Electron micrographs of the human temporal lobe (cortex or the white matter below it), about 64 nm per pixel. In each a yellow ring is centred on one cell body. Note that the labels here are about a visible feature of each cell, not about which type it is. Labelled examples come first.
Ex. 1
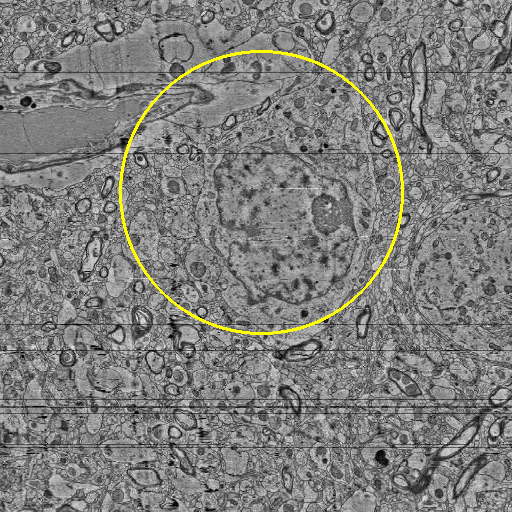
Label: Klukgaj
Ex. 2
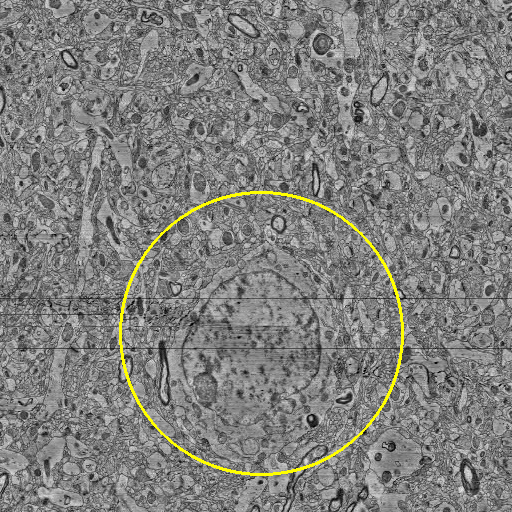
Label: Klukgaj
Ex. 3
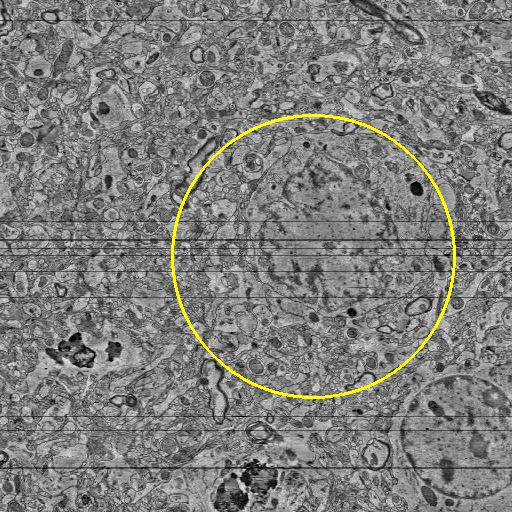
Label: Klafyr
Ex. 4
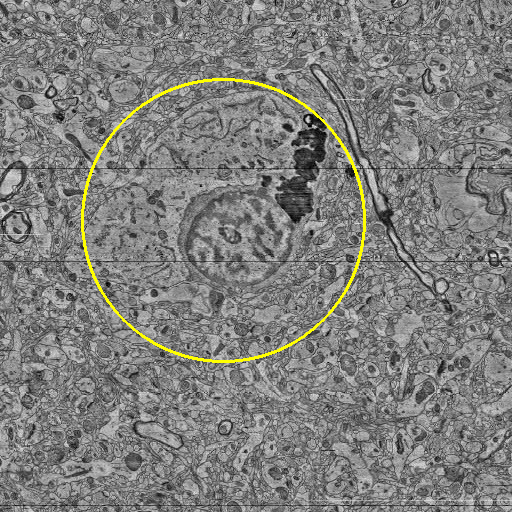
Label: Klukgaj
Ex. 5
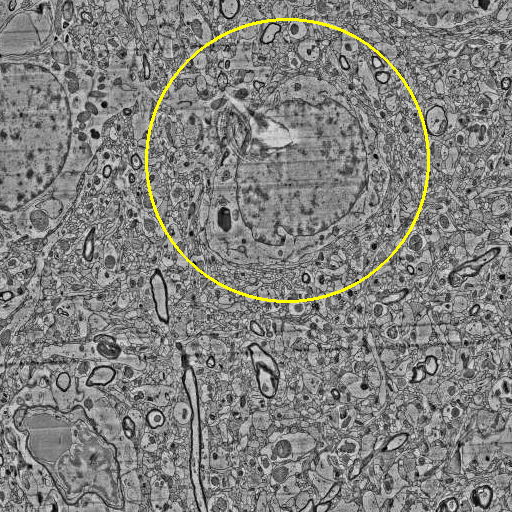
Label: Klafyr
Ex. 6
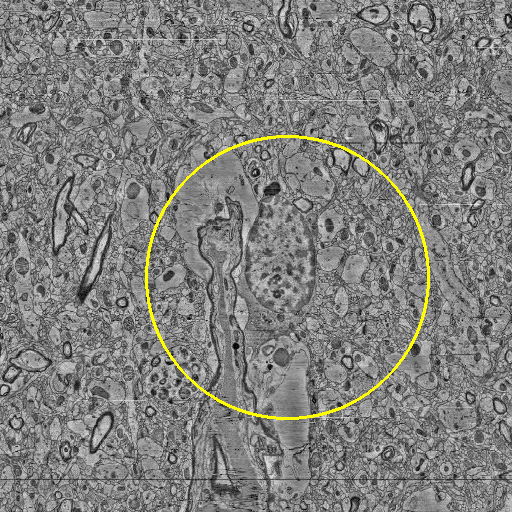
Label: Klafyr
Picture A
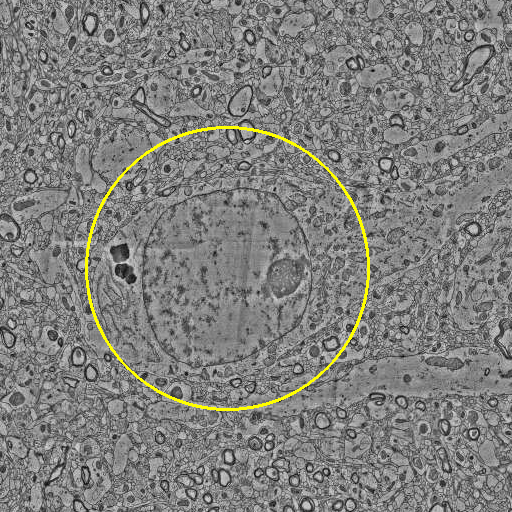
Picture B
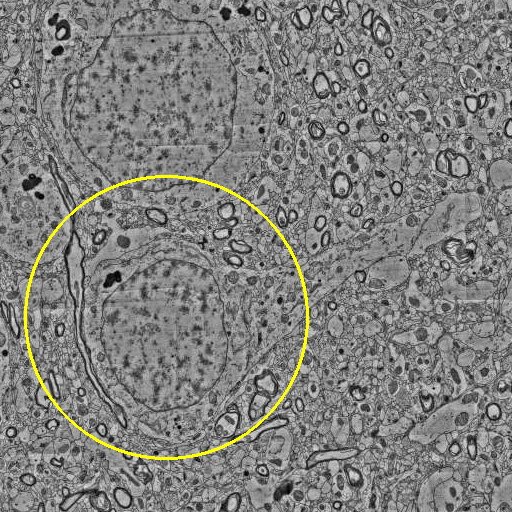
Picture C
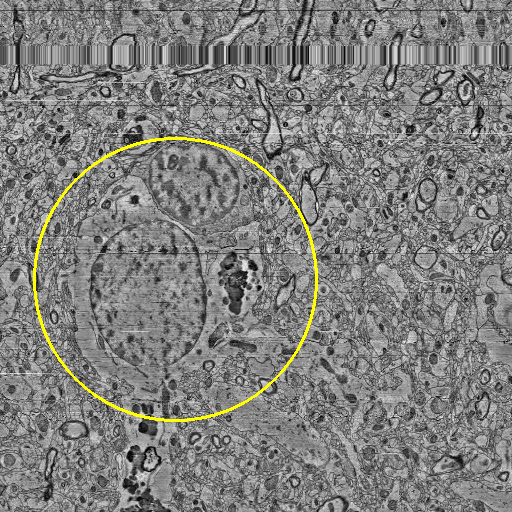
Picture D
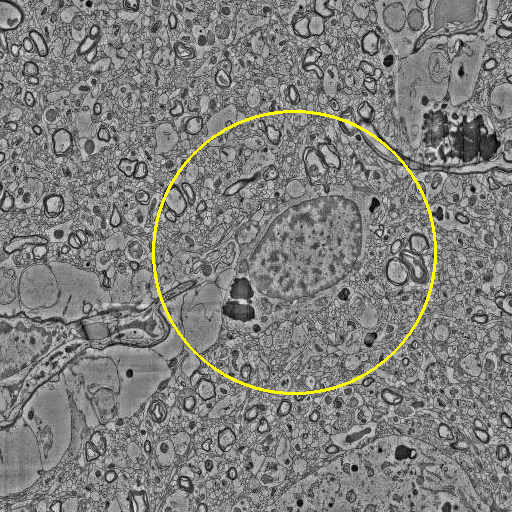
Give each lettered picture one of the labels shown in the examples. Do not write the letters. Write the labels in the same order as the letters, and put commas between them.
Klukgaj, Klafyr, Klafyr, Klafyr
